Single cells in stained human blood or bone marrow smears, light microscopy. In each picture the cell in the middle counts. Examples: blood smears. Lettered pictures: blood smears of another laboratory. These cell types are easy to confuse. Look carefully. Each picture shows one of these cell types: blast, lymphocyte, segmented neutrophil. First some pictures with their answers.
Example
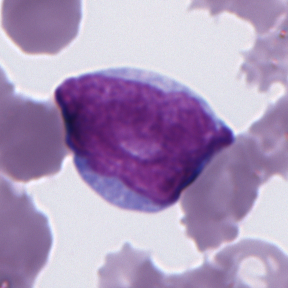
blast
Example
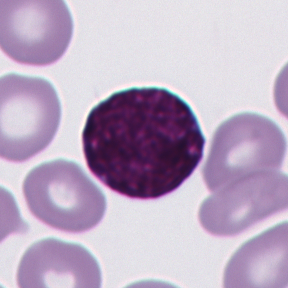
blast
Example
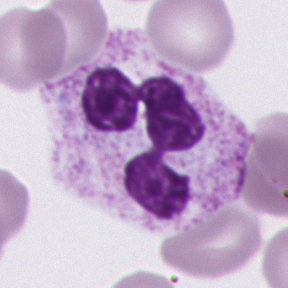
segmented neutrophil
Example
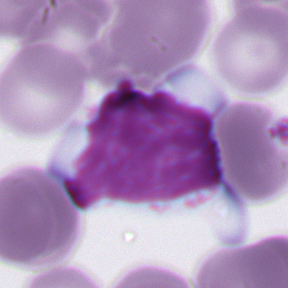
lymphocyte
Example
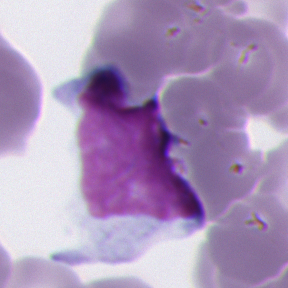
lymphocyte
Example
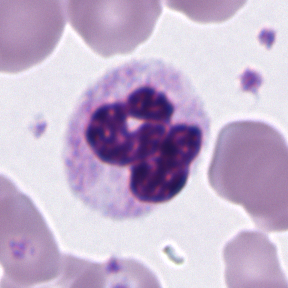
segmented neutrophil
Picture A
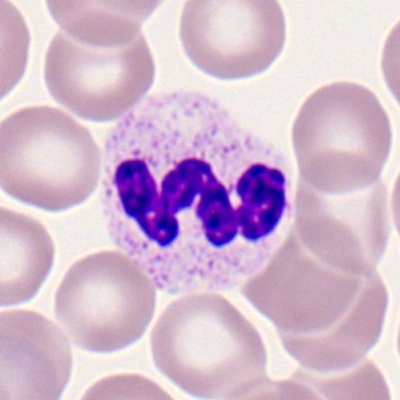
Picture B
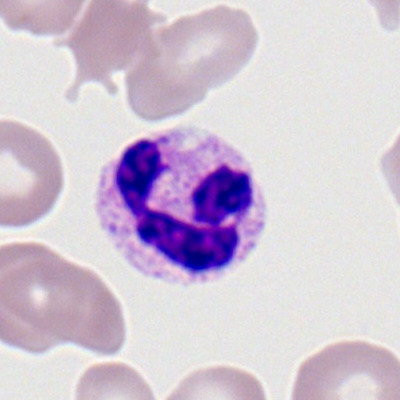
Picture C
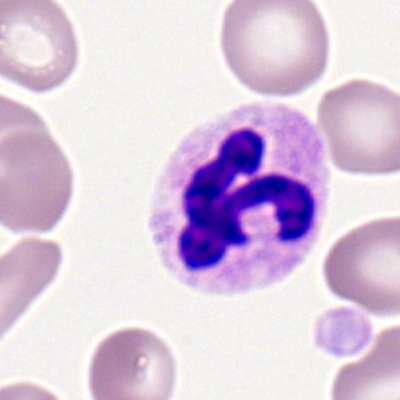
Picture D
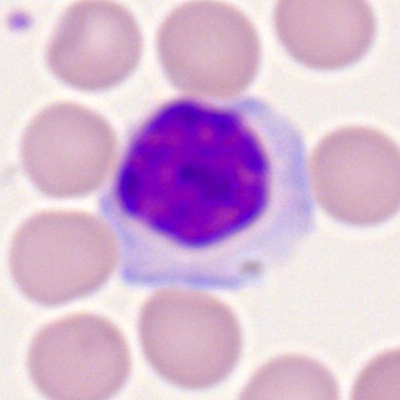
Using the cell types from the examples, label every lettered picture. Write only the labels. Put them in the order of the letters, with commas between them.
segmented neutrophil, segmented neutrophil, segmented neutrophil, lymphocyte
